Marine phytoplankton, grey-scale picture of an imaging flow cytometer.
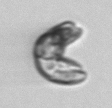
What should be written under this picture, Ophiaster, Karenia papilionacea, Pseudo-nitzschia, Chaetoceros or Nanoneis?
Karenia papilionacea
